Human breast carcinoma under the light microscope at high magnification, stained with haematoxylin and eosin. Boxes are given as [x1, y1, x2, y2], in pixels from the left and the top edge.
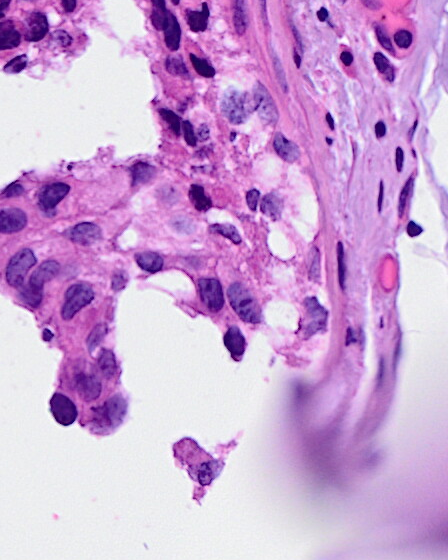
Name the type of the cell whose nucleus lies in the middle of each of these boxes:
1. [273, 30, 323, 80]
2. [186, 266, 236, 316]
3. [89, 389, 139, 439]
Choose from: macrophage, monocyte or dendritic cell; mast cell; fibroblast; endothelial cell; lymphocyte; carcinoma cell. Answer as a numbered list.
1. endothelial cell
2. carcinoma cell
3. carcinoma cell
